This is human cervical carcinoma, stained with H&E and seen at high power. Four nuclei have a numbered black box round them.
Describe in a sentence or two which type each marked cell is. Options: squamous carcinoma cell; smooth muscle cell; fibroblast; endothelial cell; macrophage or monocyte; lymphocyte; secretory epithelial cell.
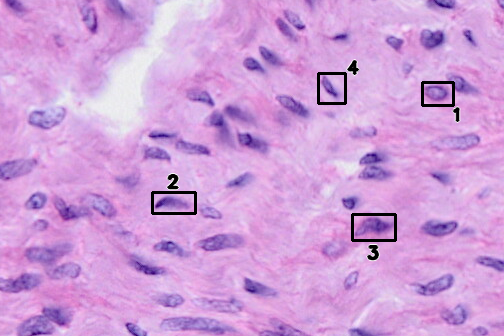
Cells 1 and 3 are smooth muscle cells. Cells 2 and 4 are fibroblasts.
